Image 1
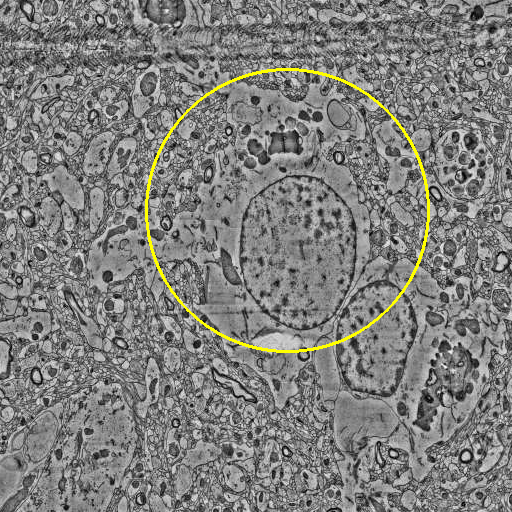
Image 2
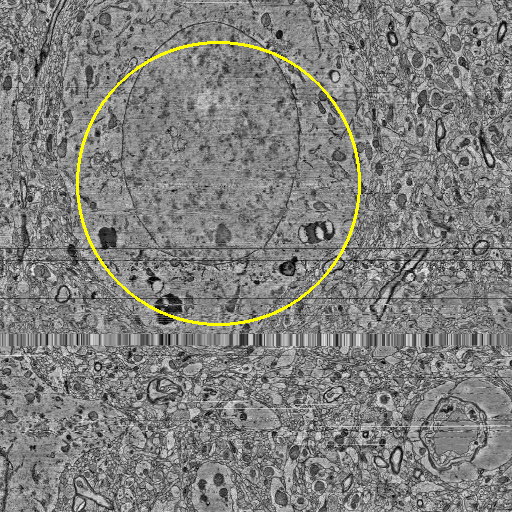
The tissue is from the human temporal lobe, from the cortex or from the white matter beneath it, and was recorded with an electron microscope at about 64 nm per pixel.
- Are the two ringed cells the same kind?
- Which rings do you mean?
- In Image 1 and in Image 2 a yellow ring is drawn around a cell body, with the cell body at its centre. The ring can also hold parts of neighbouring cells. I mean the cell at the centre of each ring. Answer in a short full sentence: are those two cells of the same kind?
No, the cells are of two kinds.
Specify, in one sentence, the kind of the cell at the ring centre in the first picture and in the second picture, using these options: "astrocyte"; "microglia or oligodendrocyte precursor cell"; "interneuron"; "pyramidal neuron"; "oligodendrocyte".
So the first is an astrocyte, the second a pyramidal neuron.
